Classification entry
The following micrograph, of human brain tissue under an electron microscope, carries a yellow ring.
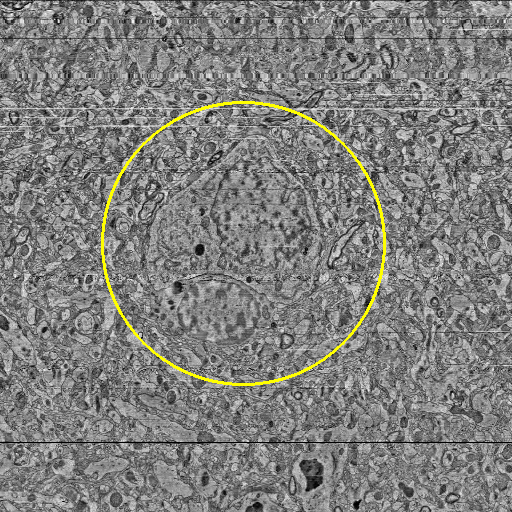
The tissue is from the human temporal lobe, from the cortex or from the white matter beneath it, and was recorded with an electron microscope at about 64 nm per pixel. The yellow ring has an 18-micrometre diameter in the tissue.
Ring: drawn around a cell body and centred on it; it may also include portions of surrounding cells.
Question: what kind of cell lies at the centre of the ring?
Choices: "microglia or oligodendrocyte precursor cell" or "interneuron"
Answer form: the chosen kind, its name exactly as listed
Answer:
interneuron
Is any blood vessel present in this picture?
No, there is no blood vessel.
